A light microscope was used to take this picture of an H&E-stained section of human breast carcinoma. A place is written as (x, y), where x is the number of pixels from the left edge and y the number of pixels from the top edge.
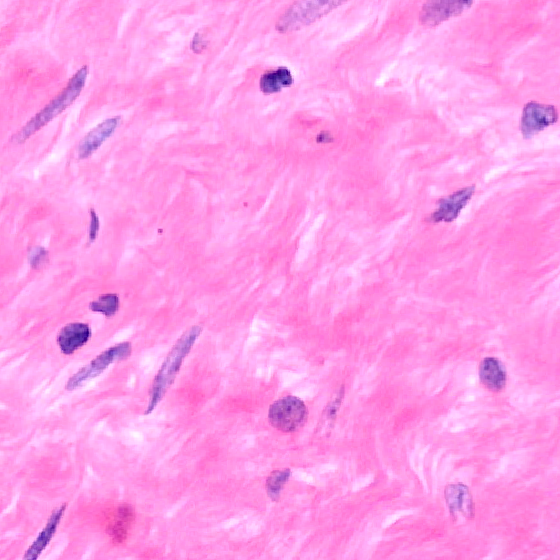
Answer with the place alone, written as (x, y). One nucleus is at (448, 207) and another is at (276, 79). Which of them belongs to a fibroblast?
(448, 207)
